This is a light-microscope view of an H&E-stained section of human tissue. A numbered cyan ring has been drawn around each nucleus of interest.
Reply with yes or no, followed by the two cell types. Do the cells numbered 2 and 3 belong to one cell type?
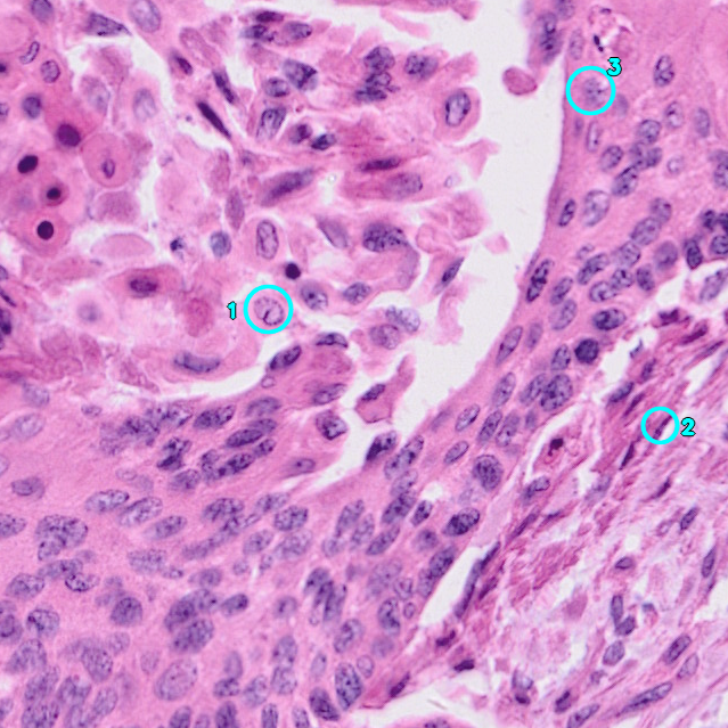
No, the cell bearing number 2 is a fibroblast, while the one bearing number 3 is a squamous carcinoma cell.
